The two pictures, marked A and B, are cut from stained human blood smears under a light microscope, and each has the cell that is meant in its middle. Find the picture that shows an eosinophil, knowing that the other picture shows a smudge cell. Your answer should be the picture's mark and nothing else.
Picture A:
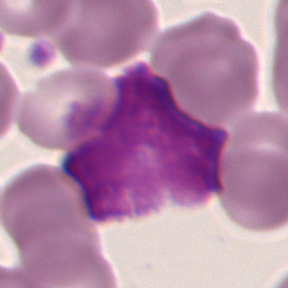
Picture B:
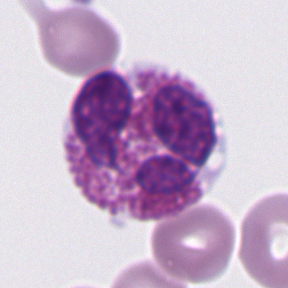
B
